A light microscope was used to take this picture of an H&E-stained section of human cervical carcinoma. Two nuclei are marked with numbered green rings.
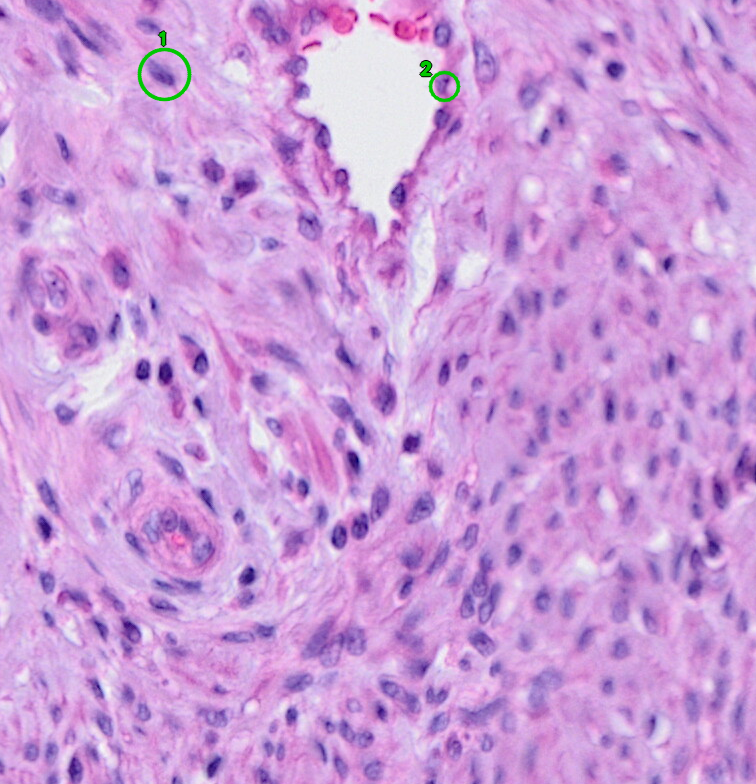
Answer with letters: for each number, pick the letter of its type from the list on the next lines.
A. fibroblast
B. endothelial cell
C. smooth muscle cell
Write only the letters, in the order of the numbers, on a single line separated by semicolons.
A; B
